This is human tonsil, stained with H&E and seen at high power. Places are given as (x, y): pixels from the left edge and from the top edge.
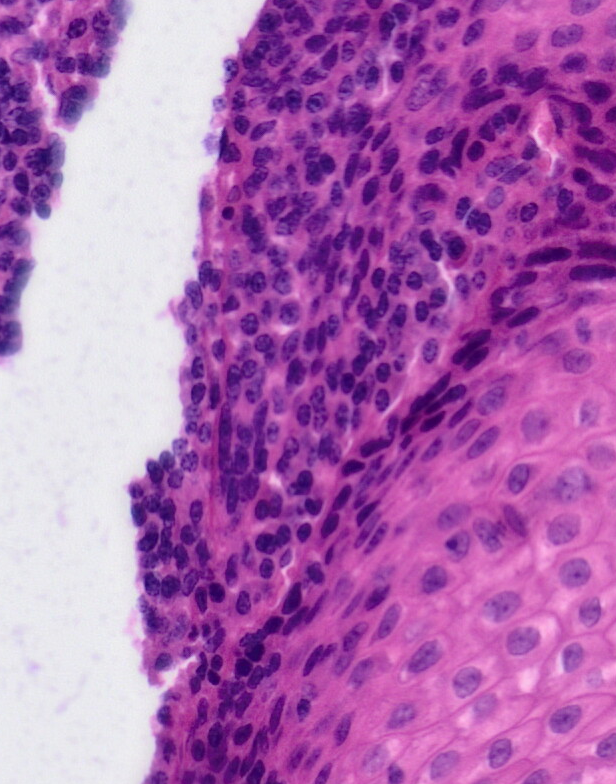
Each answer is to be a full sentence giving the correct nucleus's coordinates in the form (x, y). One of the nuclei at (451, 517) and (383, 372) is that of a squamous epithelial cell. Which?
Identified as belonging to a squamous epithelial cell is the nucleus at (451, 517).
